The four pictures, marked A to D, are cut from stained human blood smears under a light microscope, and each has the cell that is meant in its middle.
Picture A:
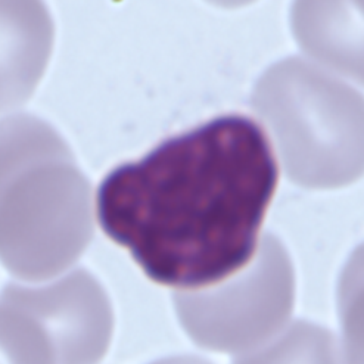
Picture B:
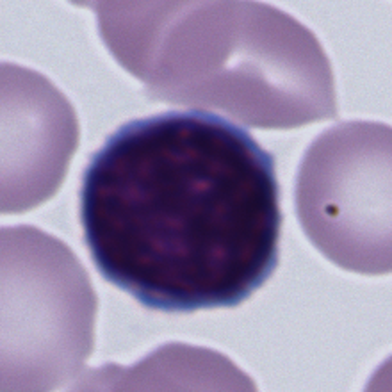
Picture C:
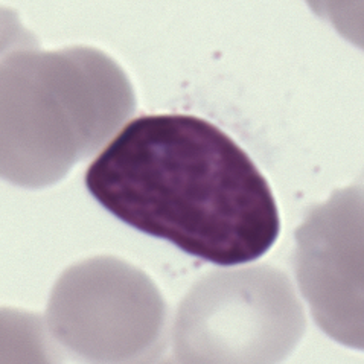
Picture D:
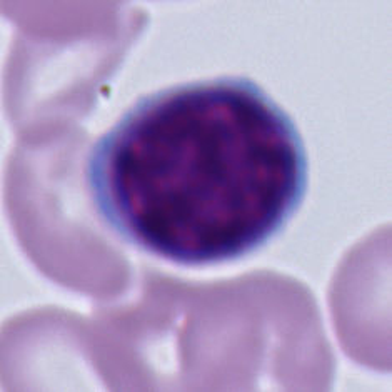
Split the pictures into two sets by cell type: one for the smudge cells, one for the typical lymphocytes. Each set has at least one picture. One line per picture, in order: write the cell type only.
smudge cell
typical lymphocyte
smudge cell
typical lymphocyte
